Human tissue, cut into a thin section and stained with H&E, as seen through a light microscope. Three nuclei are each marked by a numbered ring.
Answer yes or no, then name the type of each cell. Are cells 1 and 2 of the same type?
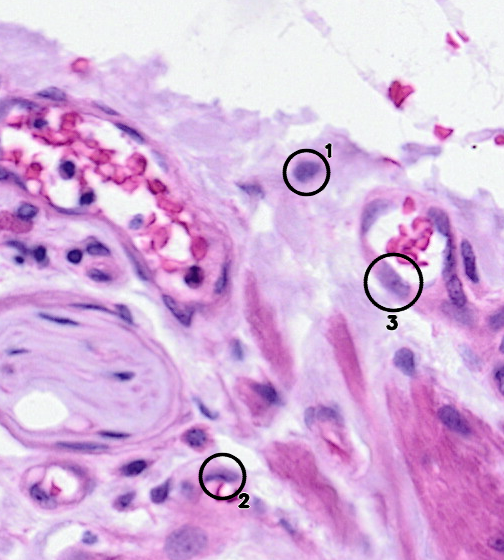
No, cell 1 is a fibroblast and cell 2 is an endothelial cell.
